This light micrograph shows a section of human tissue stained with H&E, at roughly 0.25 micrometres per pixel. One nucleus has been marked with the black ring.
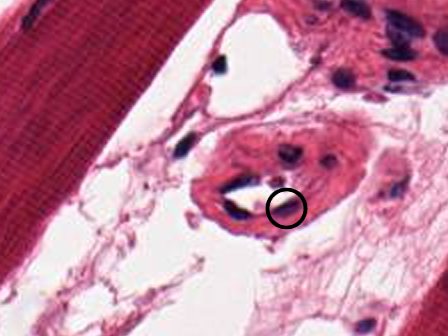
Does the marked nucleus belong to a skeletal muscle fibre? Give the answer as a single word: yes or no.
no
